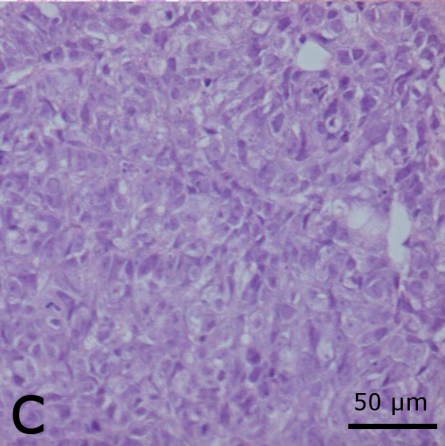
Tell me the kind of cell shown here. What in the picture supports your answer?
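Vital tumor cells. Densely packed sheets of large cells with intact, oval to irregular nuclei.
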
